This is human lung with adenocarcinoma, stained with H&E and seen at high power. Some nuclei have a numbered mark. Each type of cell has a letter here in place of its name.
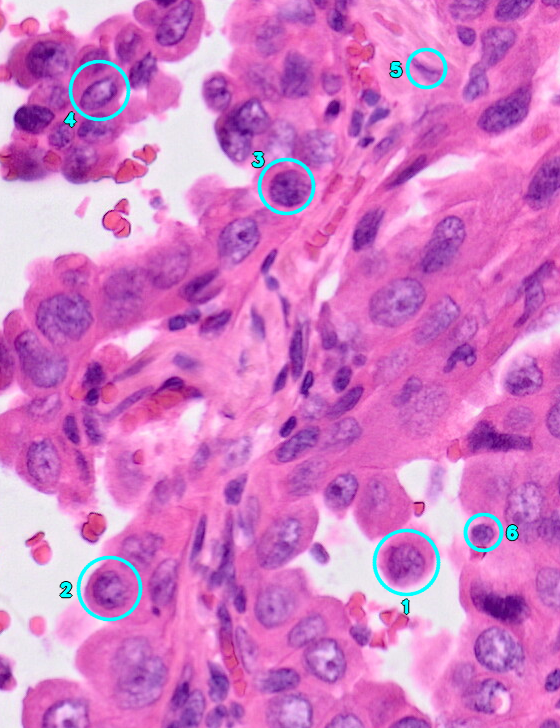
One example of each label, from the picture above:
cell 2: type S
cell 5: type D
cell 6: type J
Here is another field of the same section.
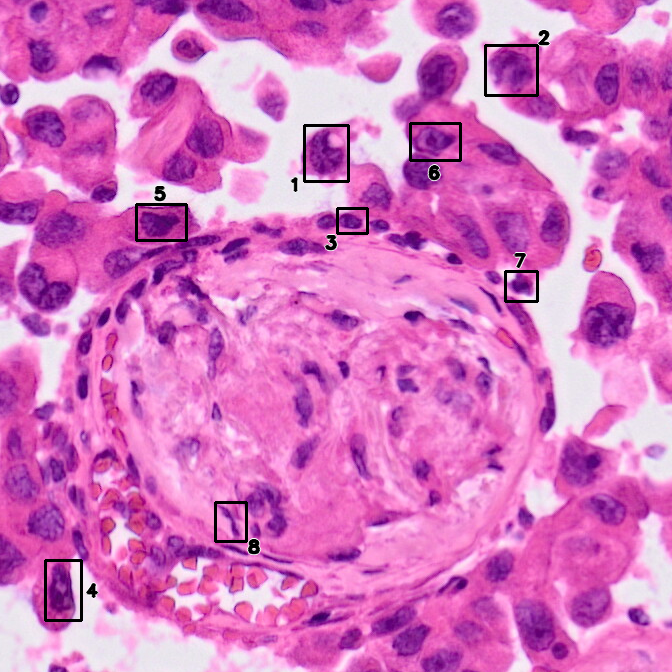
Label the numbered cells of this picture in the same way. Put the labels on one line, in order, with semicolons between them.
type S; type S; type J; type S; type S; type S; type J; type D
